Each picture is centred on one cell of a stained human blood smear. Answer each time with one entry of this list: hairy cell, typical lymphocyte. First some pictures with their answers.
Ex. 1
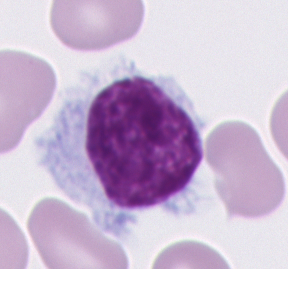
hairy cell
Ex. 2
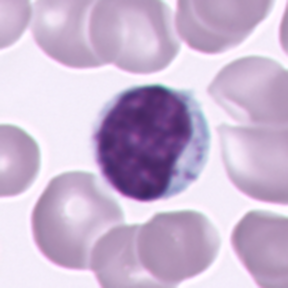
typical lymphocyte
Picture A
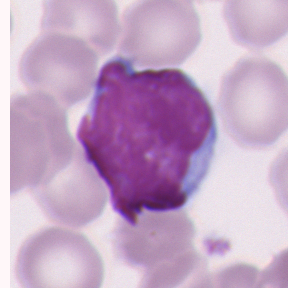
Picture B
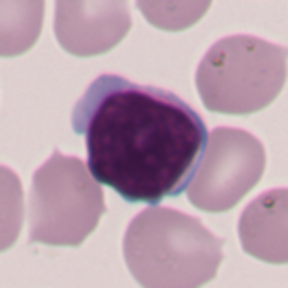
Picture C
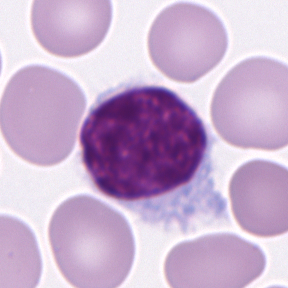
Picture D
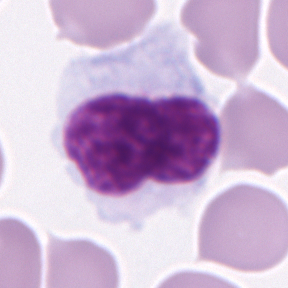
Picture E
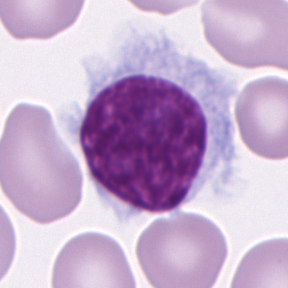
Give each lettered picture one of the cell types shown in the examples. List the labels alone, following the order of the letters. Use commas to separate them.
typical lymphocyte, typical lymphocyte, hairy cell, hairy cell, hairy cell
